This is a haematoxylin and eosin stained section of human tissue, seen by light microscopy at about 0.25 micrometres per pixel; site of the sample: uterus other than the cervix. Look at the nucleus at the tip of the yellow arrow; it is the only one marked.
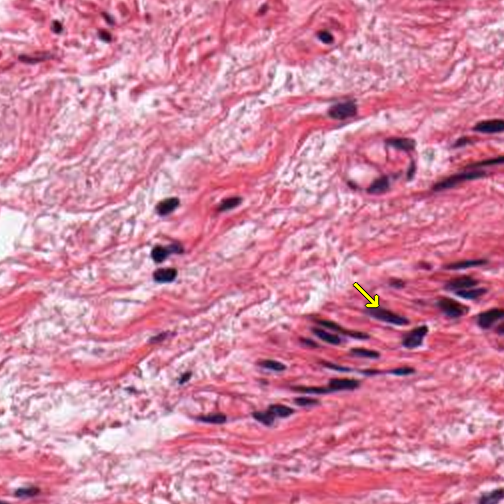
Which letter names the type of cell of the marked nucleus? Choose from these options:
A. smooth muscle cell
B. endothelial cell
A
